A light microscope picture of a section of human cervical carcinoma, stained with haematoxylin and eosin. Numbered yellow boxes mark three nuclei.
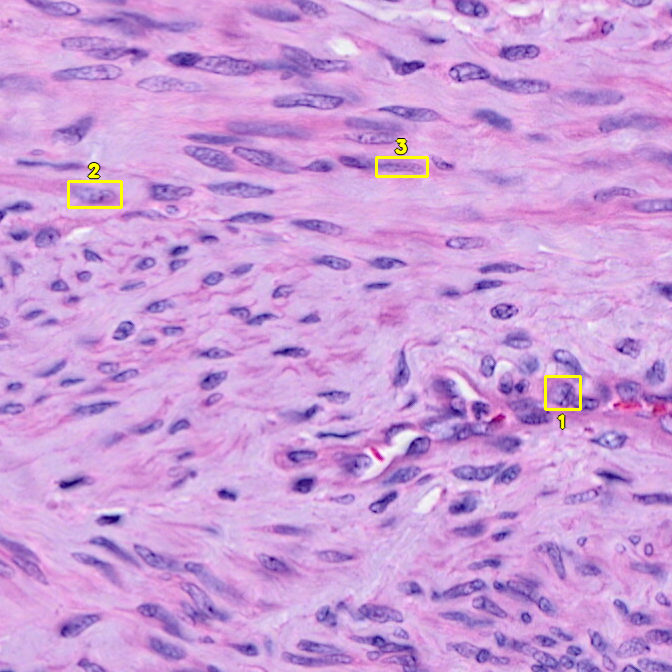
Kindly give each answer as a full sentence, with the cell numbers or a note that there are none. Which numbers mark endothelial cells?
Nothing but cell 1 is an endothelial cell among the numbered ones.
